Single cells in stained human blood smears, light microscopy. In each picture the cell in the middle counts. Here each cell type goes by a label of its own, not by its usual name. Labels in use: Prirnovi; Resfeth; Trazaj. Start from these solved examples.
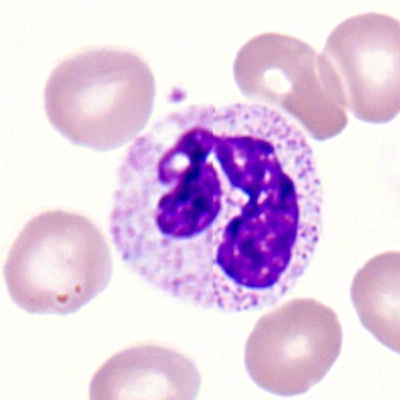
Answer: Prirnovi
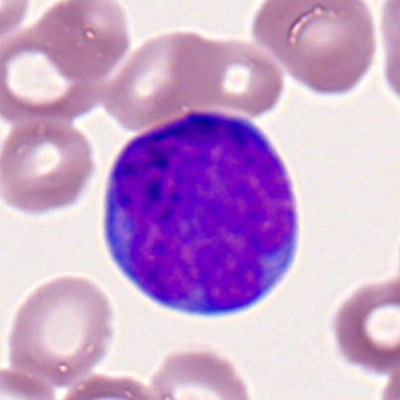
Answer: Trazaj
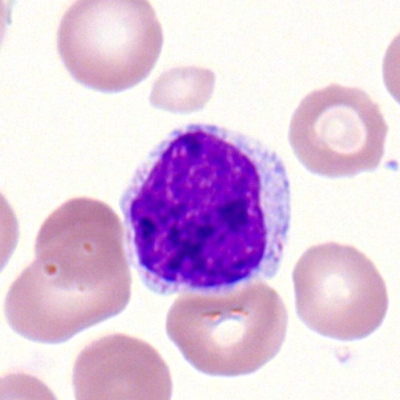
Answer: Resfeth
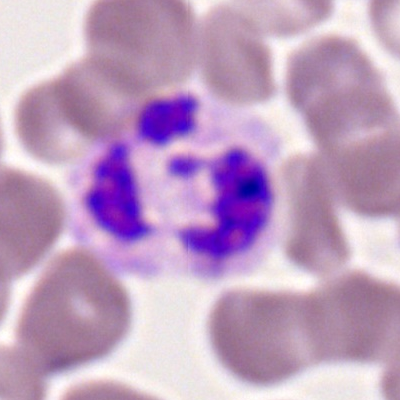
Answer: Prirnovi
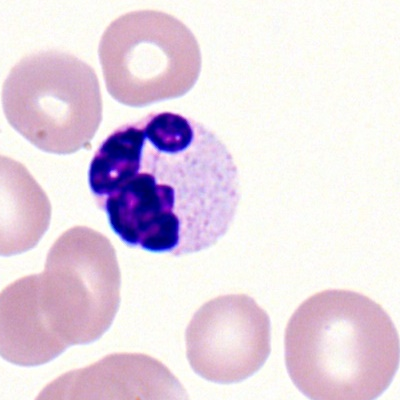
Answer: Prirnovi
